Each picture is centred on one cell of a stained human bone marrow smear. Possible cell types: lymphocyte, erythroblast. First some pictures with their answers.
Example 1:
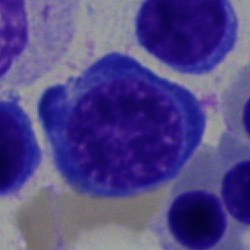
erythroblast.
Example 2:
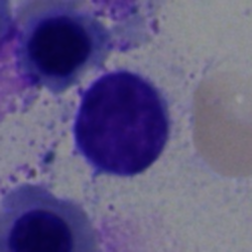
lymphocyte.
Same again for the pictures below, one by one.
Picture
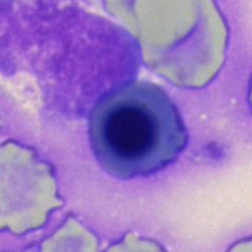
erythroblast.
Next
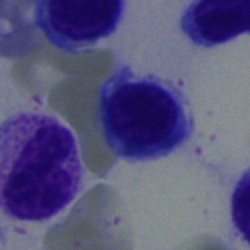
lymphocyte.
